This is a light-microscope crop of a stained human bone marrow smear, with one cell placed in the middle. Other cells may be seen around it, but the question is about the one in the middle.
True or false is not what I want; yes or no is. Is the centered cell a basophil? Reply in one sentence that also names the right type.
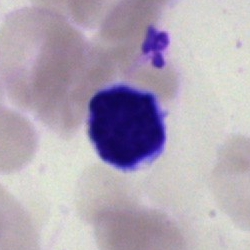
No, the central cell is properly termed a lymphocyte, not a basophil.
